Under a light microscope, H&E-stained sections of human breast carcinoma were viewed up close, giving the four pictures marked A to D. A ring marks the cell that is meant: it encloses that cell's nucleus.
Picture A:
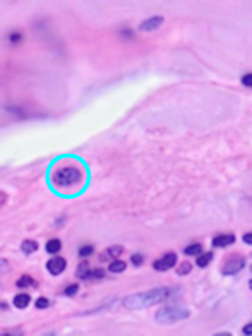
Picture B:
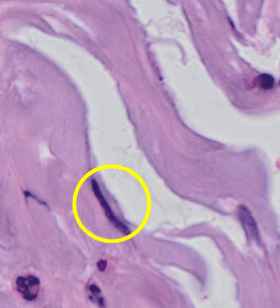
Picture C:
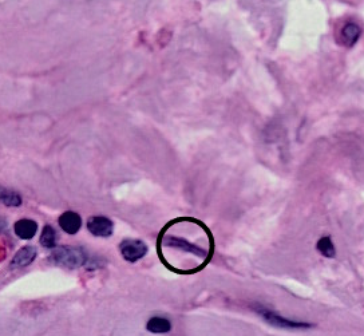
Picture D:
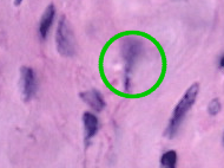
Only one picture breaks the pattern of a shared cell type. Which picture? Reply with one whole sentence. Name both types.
Picture A is the odd one out: it shows a mast cell, while the others show fibroblasts.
